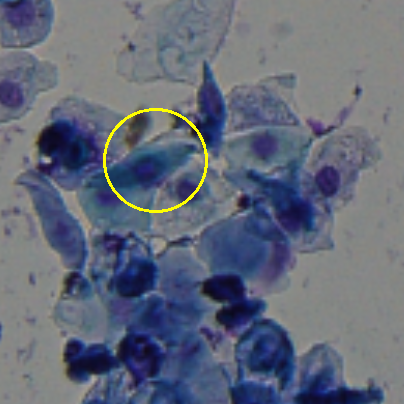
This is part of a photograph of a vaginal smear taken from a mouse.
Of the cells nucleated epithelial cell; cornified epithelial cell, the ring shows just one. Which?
The ring shows a nucleated epithelial cell.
